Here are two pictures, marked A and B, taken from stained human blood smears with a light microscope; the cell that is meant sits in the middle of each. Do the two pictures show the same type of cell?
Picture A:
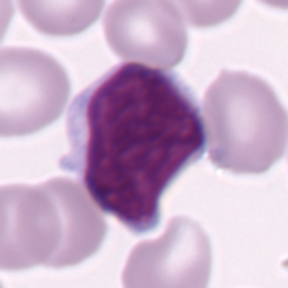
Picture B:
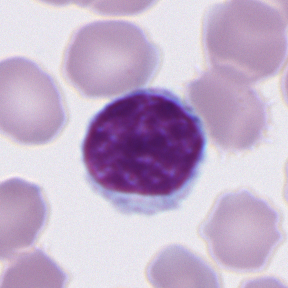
yes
